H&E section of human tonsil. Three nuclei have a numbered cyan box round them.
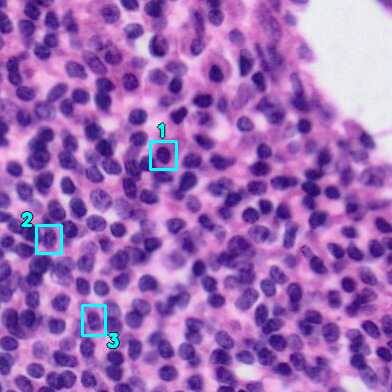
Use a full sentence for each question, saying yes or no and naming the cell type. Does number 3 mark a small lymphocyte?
Yes, the numbered cell 3 is identified as a small lymphocyte.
